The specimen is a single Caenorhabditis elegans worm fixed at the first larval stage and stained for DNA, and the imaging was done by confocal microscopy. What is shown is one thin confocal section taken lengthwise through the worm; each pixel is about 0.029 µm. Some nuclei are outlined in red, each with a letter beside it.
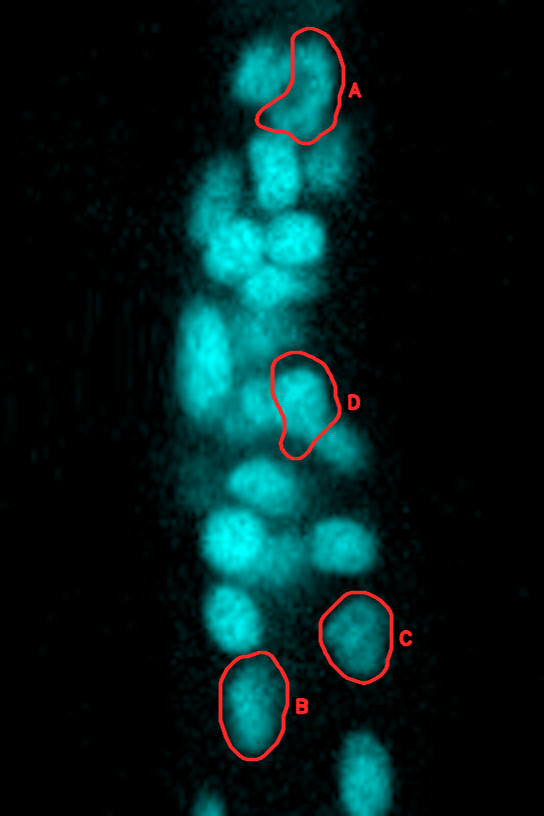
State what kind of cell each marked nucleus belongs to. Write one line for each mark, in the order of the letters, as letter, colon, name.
A: seam cell
B: enteric muscle cell
C: intestinal cell
D: rectal epithelial cell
